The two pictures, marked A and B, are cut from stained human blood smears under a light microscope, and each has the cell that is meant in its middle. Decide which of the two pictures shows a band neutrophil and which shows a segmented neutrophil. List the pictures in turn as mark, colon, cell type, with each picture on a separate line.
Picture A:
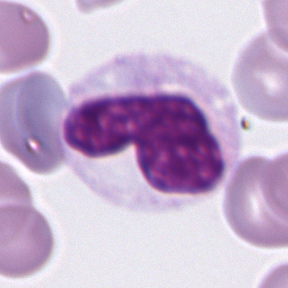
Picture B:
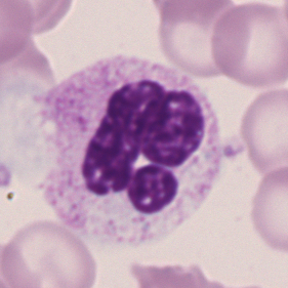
A: band neutrophil
B: segmented neutrophil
